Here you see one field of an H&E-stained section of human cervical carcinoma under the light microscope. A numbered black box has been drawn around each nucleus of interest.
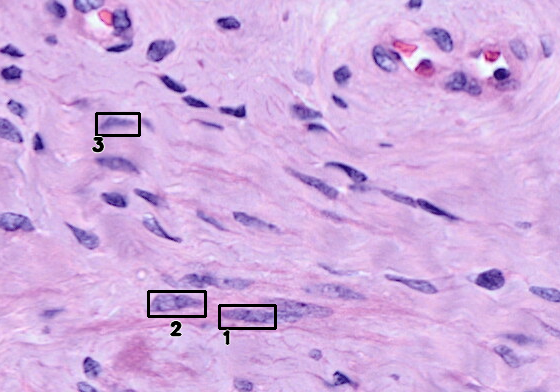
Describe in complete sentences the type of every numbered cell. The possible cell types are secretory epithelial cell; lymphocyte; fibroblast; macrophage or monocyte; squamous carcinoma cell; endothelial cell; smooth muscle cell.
Cells 1 and 2 are smooth muscle cells. Cell 3 is a fibroblast.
